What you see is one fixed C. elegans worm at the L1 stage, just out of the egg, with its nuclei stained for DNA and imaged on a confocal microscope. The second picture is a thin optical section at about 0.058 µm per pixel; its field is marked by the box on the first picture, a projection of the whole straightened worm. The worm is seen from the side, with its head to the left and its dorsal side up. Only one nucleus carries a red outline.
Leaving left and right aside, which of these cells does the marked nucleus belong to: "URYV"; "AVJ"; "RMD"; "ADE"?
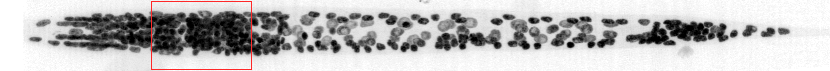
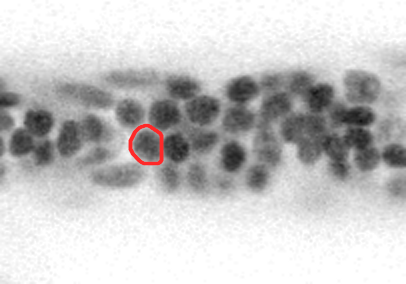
RMD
